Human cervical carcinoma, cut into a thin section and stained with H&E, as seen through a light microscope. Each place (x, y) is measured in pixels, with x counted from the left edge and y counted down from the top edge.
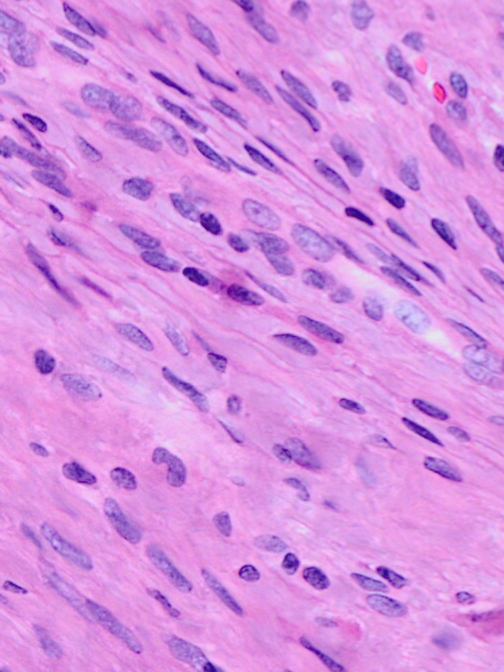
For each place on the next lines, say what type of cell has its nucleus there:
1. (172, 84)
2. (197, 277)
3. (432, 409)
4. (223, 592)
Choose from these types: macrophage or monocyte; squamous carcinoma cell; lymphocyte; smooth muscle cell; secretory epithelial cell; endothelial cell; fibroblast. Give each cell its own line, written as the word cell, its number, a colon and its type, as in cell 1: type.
cell 1: fibroblast
cell 2: lymphocyte
cell 3: fibroblast
cell 4: fibroblast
